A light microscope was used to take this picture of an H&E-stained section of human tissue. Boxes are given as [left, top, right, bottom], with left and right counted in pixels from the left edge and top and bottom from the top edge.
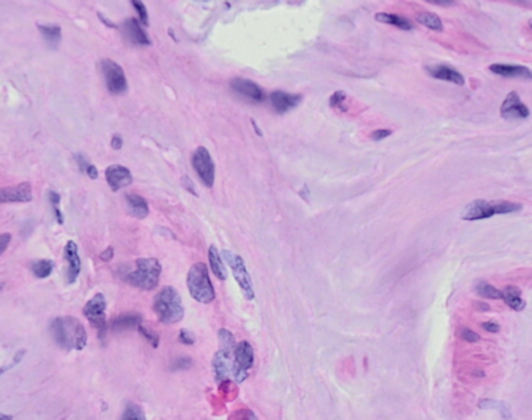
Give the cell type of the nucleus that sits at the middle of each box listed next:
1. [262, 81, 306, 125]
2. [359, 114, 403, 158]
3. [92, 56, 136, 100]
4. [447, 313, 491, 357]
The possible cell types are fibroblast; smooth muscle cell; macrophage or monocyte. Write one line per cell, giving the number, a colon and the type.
1: fibroblast
2: smooth muscle cell
3: fibroblast
4: smooth muscle cell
